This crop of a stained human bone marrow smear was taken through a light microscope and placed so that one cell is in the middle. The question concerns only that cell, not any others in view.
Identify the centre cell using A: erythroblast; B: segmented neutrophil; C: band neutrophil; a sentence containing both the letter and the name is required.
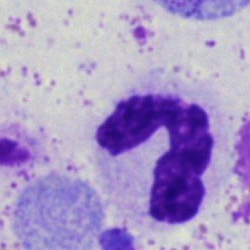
With the cell in the middle being a segmented neutrophil, option B is the correct choice.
